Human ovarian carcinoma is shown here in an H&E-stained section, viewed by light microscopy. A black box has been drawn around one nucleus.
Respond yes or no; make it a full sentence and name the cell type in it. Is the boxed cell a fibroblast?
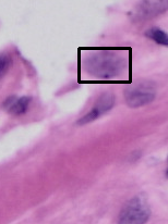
Yes, by cell type, the boxed cell is a fibroblast.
